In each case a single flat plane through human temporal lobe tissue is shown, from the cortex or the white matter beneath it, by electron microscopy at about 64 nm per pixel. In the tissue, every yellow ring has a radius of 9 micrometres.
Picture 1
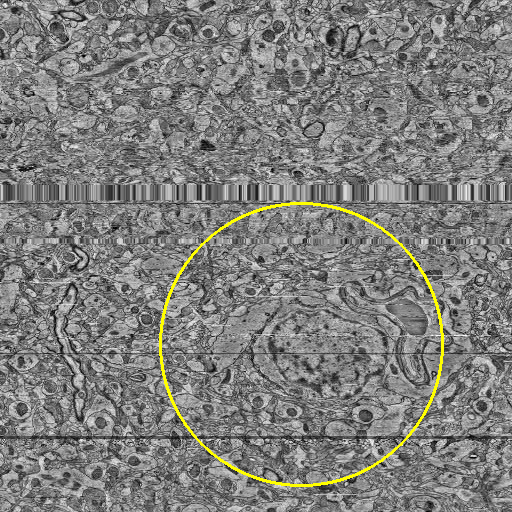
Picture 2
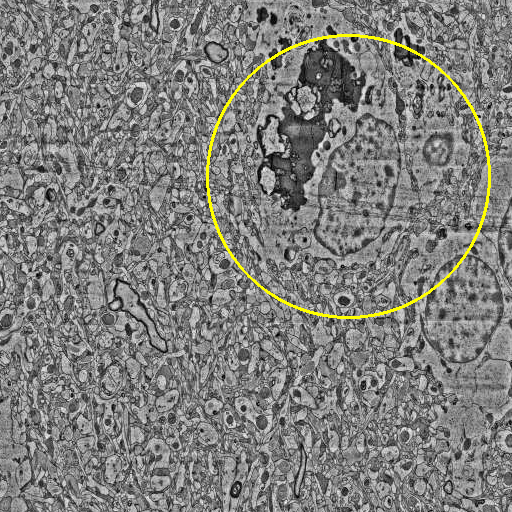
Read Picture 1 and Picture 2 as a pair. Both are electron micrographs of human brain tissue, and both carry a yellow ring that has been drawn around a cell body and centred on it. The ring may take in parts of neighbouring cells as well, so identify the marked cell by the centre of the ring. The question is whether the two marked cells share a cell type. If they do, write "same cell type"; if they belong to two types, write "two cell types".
two cell types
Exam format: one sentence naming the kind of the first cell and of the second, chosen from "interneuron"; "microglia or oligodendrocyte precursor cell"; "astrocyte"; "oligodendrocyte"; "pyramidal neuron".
The first picture's cell is a microglial cell or oligodendrocyte precursor cell, and the second picture's cell is an astrocyte.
